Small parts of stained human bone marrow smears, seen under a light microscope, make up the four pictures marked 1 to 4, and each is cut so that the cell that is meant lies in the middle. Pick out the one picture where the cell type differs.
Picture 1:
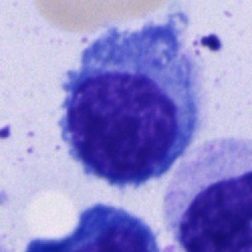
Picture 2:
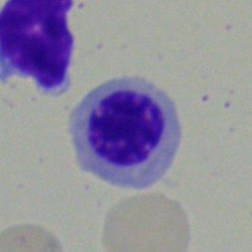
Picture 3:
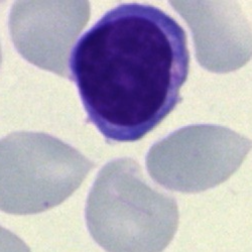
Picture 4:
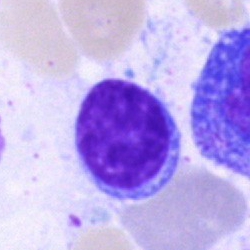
2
